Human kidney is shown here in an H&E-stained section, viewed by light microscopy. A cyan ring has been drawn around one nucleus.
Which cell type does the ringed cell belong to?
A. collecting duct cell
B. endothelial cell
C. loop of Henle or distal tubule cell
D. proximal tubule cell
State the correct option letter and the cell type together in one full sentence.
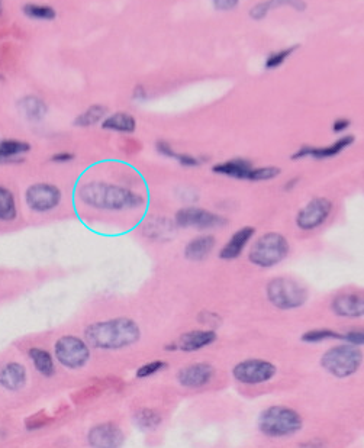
Here the ringed cell is a collecting duct cell, which makes option A correct.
